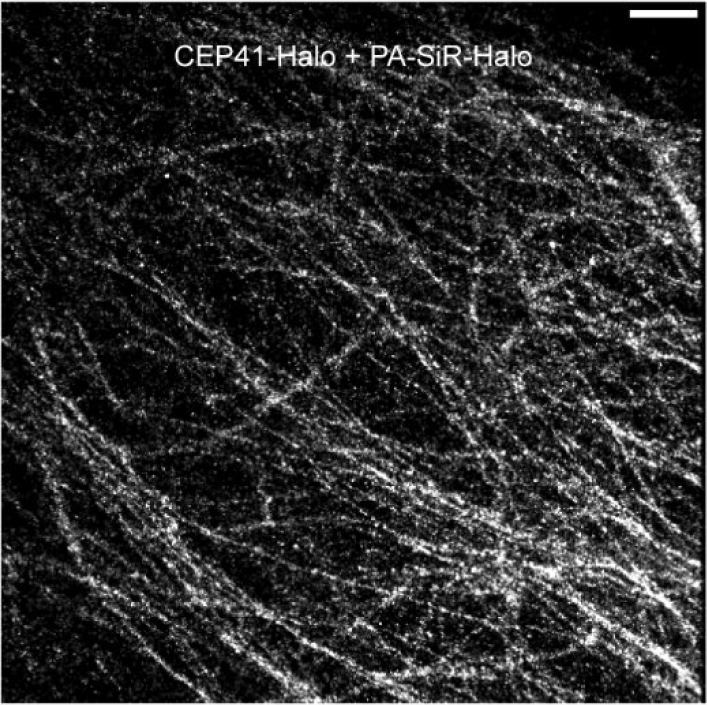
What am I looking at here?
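The microtubules are long, slender and gently curving, running mostly diagonally across the field and crossing one another to form a loose mesh. In places several filaments run close together in parallel bundles, while other areas of the cytoplasm are sparser and darker.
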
